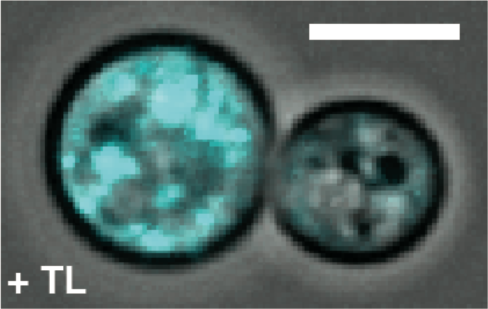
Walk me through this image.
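Here a pair of yeast cells is seen in transmitted light with cyan fluorescence overlaid: a large round cell with a thick dark wall beside a smaller round cell. The larger cell is crowded with many irregular bright cyan patches and puncta of varied size scattered throughout its cytoplasm, with darker gaps between them. The smaller neighbouring cell shows only faint signal, and darker round spaces can be seen within it. Both cells have a sharp, well-defined outline.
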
